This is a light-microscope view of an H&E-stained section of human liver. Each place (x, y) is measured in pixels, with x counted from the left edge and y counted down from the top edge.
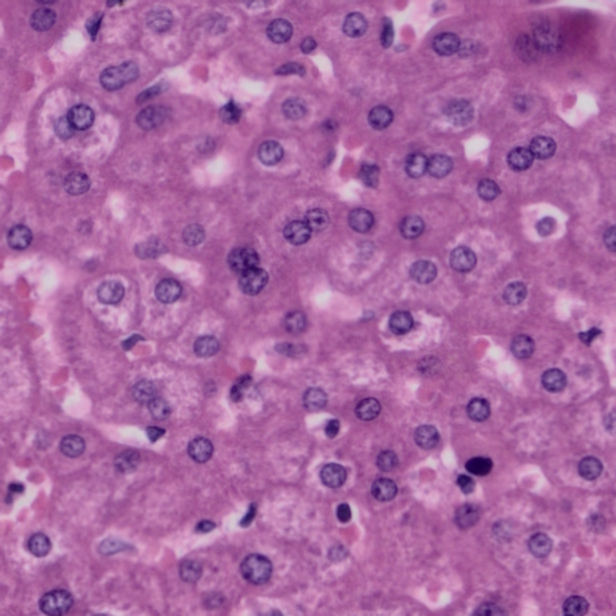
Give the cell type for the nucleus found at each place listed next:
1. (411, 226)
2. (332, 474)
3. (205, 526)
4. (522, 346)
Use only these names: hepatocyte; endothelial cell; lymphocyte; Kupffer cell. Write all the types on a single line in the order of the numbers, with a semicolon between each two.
hepatocyte; hepatocyte; lymphocyte; hepatocyte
